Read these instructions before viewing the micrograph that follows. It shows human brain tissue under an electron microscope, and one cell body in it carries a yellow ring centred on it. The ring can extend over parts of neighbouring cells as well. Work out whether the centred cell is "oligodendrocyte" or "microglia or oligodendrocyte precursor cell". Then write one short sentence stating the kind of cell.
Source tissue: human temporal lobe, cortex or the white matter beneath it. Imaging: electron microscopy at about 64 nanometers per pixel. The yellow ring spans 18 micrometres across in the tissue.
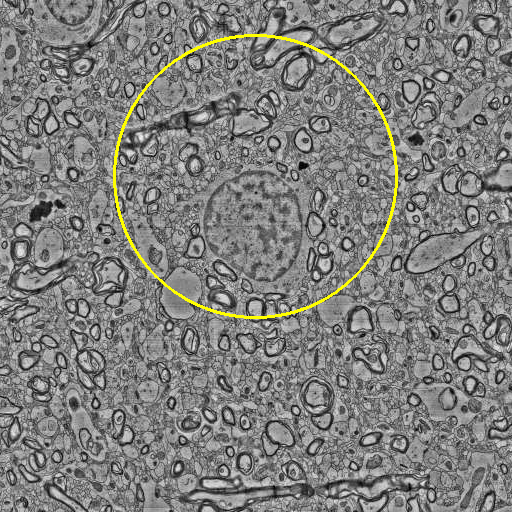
The ringed cell is an oligodendrocyte.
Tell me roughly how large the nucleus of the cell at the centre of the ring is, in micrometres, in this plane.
In this plane the nucleus is about 7 micrometres across.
